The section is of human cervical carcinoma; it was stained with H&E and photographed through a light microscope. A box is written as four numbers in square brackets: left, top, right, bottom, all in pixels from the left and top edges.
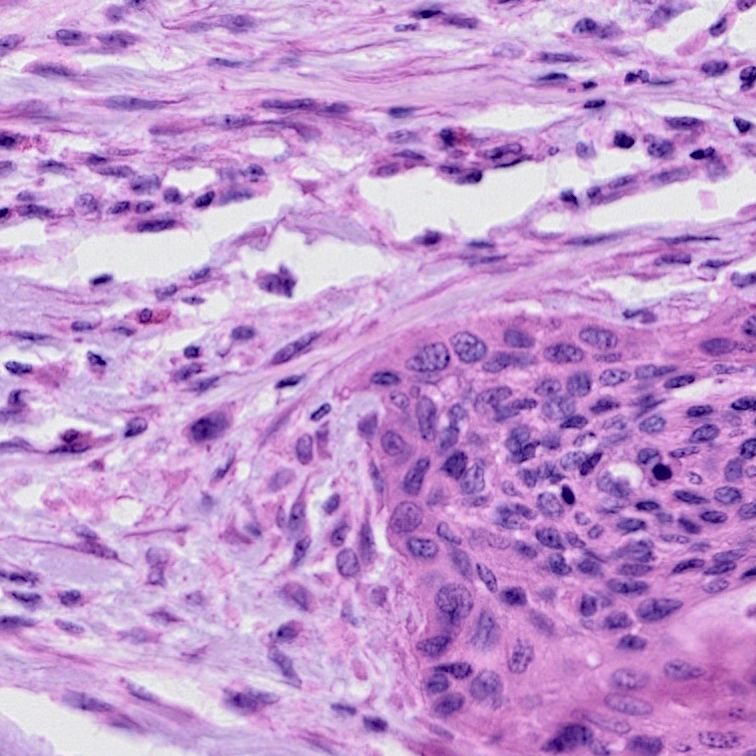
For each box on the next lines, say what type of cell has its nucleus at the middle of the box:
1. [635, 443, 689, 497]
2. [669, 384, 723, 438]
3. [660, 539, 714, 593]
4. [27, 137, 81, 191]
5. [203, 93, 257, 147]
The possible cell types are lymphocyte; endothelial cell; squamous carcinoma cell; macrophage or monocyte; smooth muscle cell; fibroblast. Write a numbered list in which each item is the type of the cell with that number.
1. squamous carcinoma cell
2. squamous carcinoma cell
3. squamous carcinoma cell
4. fibroblast
5. fibroblast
